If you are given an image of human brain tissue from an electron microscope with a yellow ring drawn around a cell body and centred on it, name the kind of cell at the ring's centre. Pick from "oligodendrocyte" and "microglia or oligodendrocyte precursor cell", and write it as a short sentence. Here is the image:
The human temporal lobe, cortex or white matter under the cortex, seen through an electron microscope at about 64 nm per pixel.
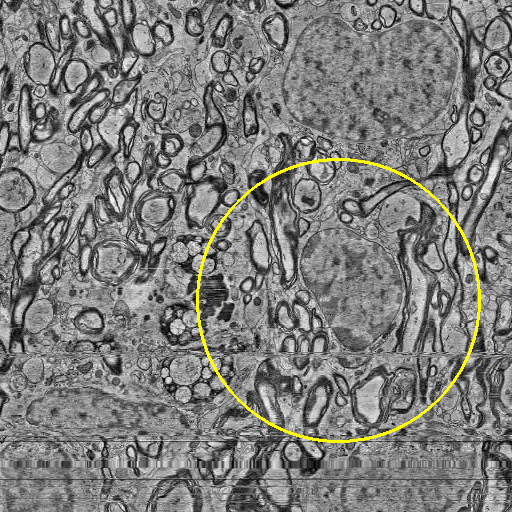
The cell at the ring's centre is a microglial cell or oligodendrocyte precursor cell.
